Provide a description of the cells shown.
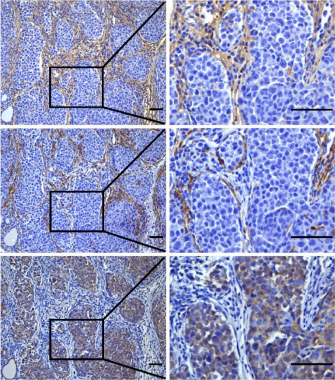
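In every row the tumor is built of compact nests and lobules of crowded cells with round to oval, blue nuclei, separated by narrow bands of connective tissue. In the top and middle rows the brown color lies in these thin septa between the nests, where slender, elongated cells run along the bands, while the tumor cells inside the nests stay blue. In the bottom row the pattern is reversed: the nests of tumor cells carry a brown tint in their cytoplasm, and the thin bands between them stay pale. The higher-magnification images on the right show the boxed areas, making the spindle shape of the cells in the septa and the packed nuclei of the nests easier to tell apart.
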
